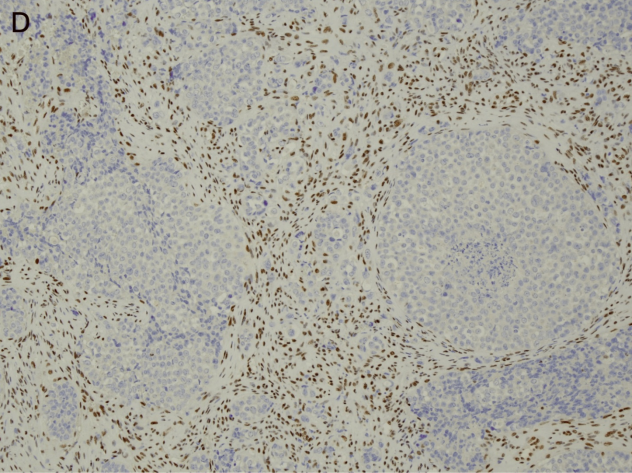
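Rounded nests of tumour cells lie within a surrounding desmoplastic stroma. The nests consist of closely packed cells with round nuclei that stay blue, with no brown nuclear staining. Between and around the nests run bands of stroma whose elongated, spindle-shaped nuclei are stained brown, forming a streaming pattern that outlines the nests. The contrast between the pale blue nests and the brown-dotted stroma makes the boundaries of the tumour nests stand out clearly.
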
